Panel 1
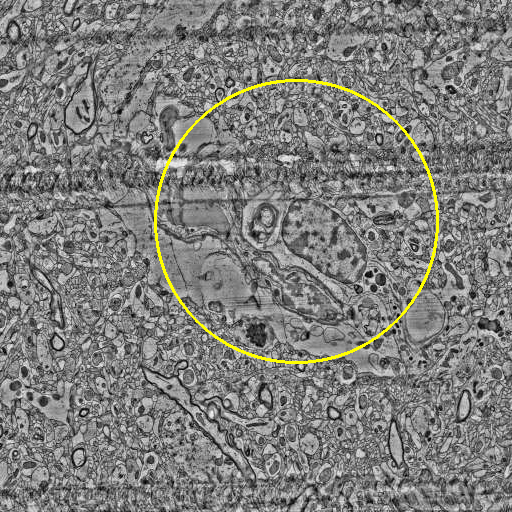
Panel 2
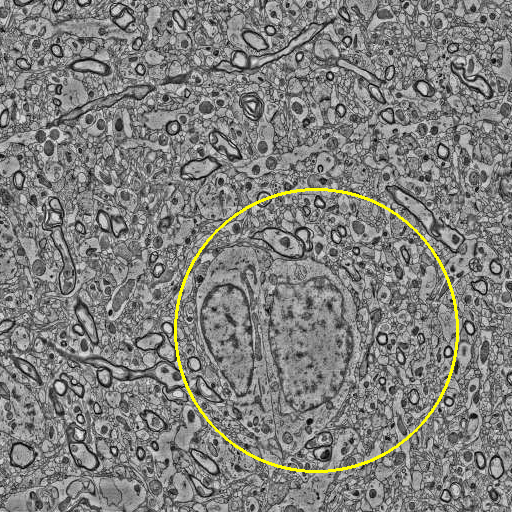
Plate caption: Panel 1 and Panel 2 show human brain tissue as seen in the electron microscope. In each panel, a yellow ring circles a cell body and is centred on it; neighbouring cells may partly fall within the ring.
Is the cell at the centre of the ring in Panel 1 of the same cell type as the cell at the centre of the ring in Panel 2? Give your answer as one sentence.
No, the two cells are of two types.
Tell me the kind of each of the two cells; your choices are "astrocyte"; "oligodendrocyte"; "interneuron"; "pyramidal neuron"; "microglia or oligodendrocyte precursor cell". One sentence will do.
The ringed cell is a microglial cell or oligodendrocyte precursor cell in the first picture and an interneuron in the second picture.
